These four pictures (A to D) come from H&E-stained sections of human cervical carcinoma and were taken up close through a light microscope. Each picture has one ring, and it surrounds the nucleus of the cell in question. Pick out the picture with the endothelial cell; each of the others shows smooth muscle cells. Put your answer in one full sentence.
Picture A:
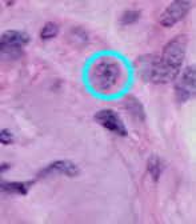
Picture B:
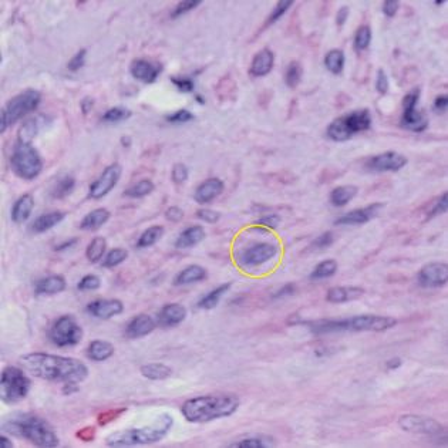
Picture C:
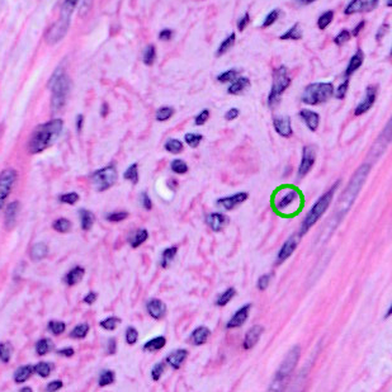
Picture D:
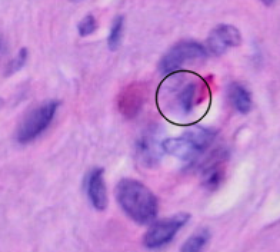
It is picture D that shows the endothelial cell.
